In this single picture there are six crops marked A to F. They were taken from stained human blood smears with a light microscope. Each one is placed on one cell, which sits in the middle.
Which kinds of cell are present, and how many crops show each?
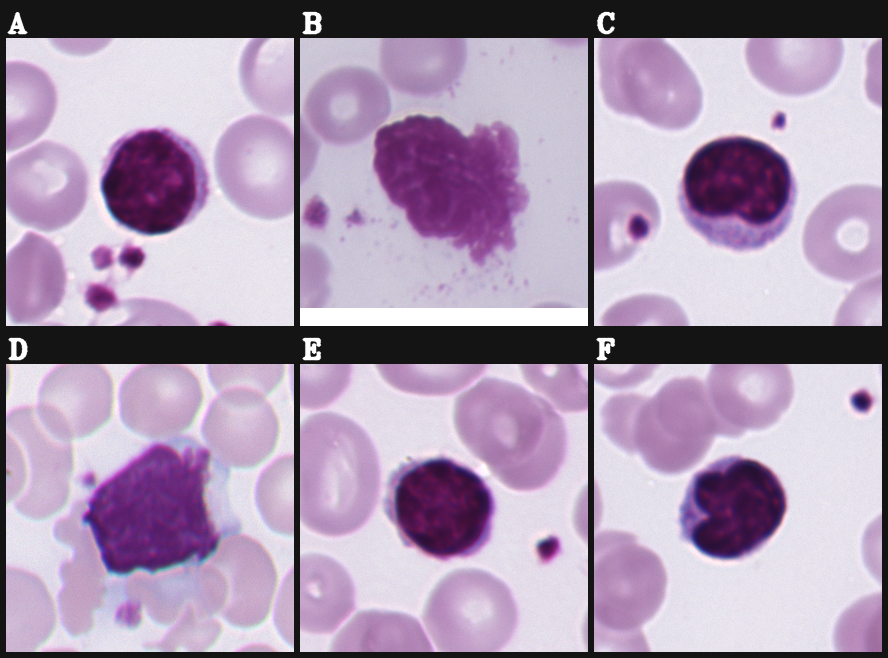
typical lymphocyte: 3
large granular lymphocyte: 2
smudge cell: 1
